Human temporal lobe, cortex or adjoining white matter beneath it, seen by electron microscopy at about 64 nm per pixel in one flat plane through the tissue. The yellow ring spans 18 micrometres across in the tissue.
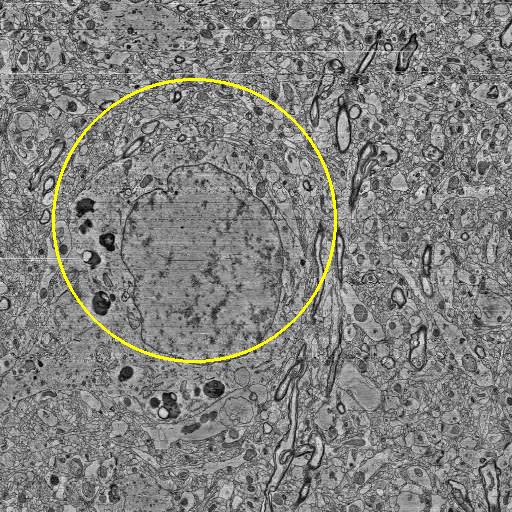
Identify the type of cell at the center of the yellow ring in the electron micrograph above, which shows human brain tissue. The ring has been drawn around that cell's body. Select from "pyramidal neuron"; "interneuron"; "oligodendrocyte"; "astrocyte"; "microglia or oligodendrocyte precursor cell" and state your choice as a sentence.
The yellow ring is centered on the body of a pyramidal neuron.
